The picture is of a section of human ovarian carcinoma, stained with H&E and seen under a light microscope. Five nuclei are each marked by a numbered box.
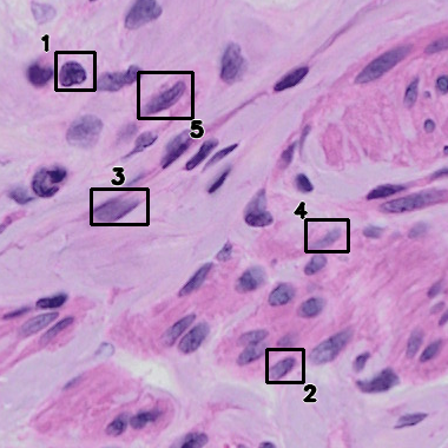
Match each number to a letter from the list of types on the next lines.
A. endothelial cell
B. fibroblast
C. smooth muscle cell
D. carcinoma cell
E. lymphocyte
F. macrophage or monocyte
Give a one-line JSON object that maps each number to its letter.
{"1": "E", "2": "C", "3": "B", "4": "C", "5": "A"}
